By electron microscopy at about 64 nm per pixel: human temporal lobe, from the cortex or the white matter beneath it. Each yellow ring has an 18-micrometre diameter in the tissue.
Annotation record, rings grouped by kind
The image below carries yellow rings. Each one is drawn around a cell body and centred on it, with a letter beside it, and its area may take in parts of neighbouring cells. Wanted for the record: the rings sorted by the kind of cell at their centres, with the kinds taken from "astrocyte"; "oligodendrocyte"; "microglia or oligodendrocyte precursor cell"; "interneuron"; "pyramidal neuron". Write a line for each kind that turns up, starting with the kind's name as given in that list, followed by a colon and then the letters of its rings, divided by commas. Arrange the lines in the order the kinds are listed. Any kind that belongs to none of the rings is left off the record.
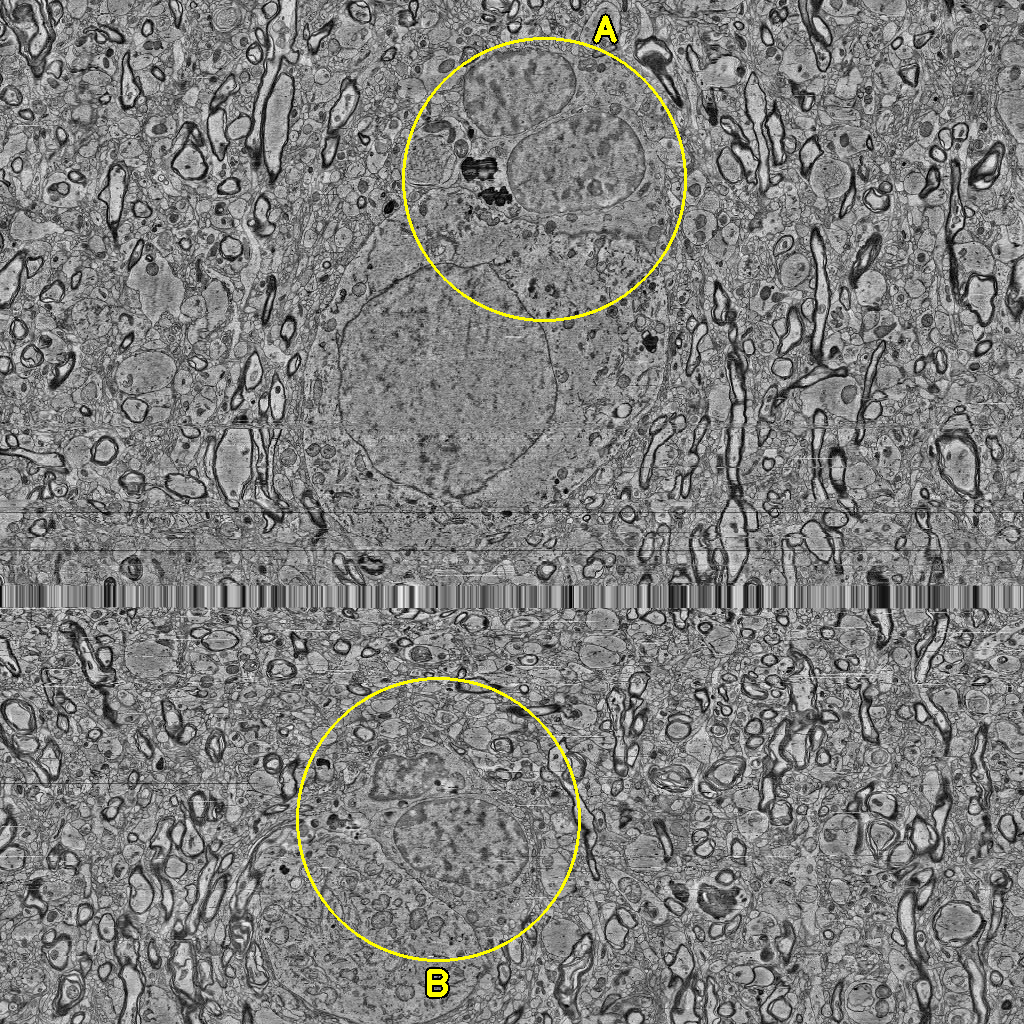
oligodendrocyte: A, B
